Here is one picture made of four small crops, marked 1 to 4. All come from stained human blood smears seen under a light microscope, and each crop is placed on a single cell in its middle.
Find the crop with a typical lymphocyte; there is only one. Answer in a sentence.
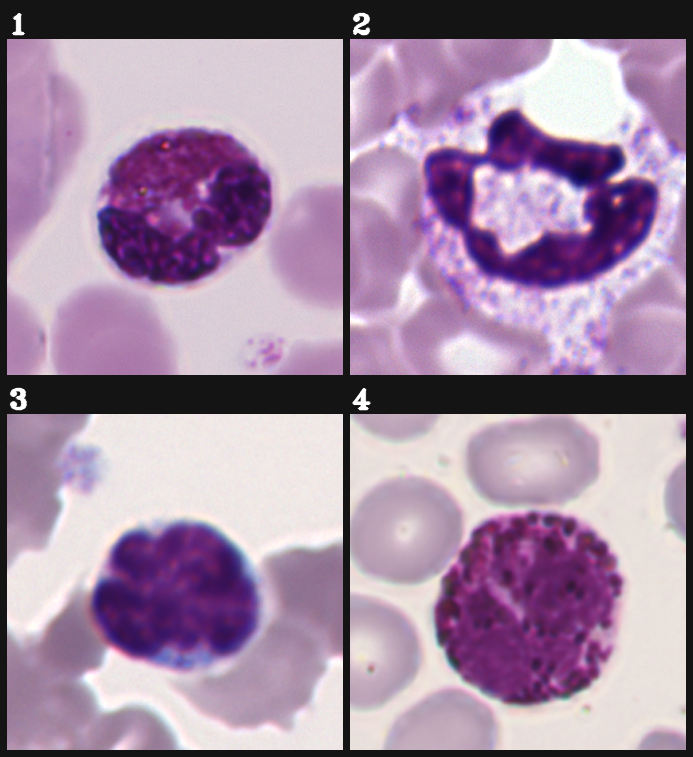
Crop 3 is where a typical lymphocyte is to be found.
